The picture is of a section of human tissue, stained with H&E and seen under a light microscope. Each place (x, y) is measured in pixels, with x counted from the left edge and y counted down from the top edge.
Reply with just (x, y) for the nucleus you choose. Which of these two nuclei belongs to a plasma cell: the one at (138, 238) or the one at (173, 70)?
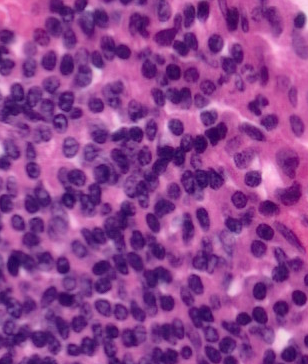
(173, 70)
